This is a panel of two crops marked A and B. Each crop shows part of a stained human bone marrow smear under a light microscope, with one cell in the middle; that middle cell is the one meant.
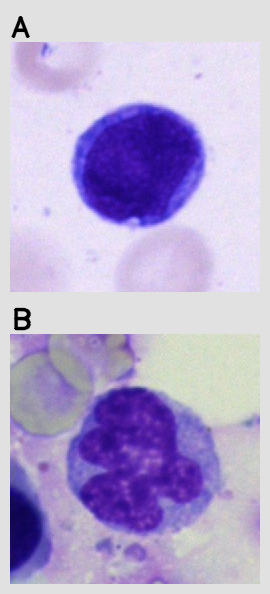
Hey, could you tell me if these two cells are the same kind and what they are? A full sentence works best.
Yes, both crops show monocytes in the centre of the field.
